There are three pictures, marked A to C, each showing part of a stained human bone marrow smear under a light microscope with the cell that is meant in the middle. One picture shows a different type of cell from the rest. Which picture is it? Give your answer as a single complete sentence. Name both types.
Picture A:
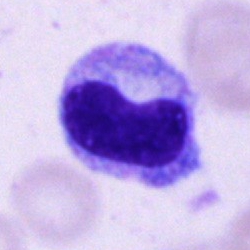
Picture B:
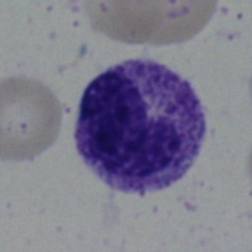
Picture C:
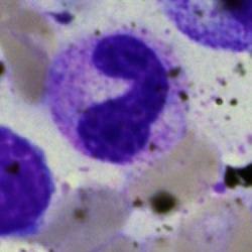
Unlike the rest, which show metamyelocytes, picture C shows a band neutrophil.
